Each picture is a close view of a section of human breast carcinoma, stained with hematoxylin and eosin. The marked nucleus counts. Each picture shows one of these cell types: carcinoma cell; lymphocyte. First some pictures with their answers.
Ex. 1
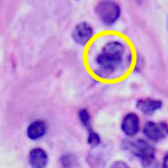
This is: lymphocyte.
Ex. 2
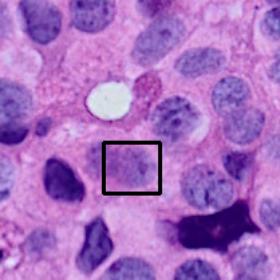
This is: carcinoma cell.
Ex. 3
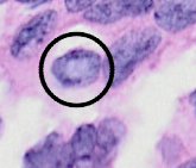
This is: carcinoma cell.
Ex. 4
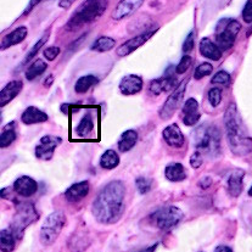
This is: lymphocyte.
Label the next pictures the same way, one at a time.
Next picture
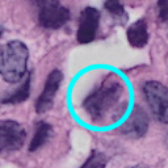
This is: carcinoma cell.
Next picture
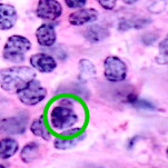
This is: lymphocyte.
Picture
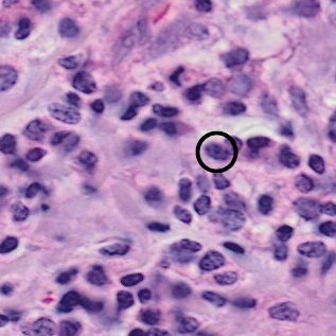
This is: lymphocyte.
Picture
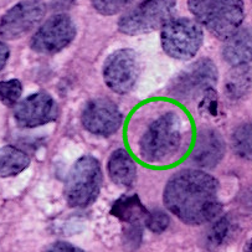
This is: carcinoma cell.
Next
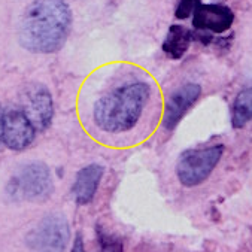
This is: carcinoma cell.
